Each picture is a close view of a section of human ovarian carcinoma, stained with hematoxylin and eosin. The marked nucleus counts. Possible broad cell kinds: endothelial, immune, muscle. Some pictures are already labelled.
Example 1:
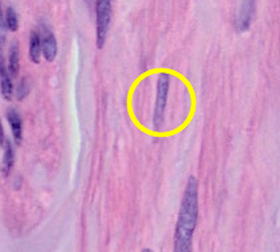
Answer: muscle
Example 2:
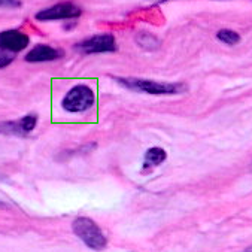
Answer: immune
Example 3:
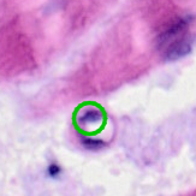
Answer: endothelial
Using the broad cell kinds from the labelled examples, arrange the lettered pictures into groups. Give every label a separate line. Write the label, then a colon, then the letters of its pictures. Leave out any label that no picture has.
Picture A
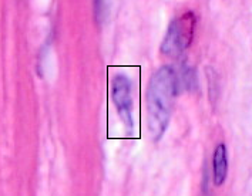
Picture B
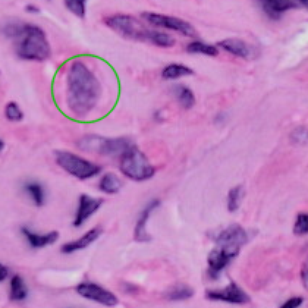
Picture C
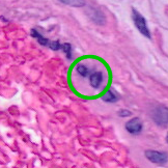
endothelial: B, C
immune: A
